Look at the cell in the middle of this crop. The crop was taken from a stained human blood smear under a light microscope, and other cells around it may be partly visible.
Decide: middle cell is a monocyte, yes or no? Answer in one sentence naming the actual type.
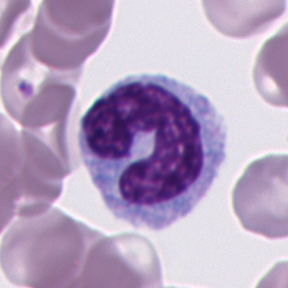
Yes, the cell of interest in the middle is a monocyte.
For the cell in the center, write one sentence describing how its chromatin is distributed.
Just so you know, its chromatin is coarsely clumped.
